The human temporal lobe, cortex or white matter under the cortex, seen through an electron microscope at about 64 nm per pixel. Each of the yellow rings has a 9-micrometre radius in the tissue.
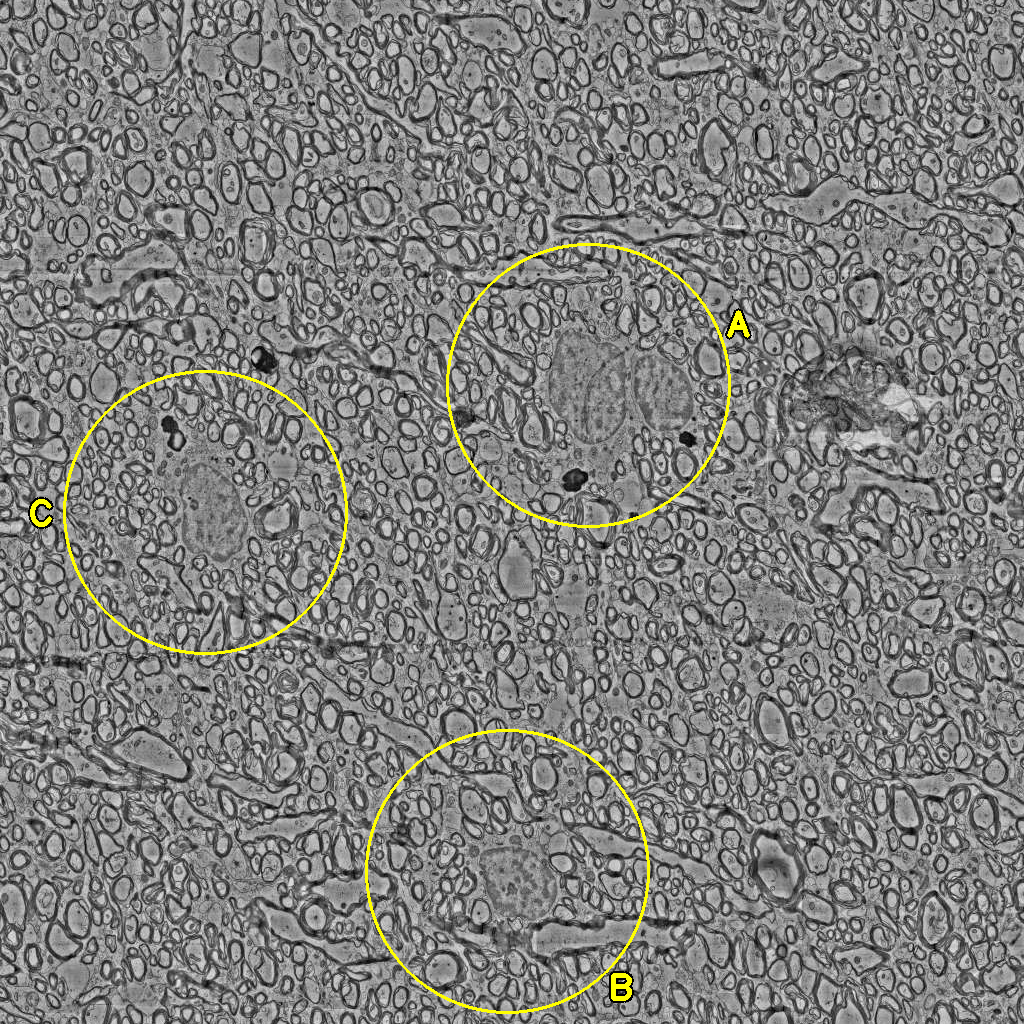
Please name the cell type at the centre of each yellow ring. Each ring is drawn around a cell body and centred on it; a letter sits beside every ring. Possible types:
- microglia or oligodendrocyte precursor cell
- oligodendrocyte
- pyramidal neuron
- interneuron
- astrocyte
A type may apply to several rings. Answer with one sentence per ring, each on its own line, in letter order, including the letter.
Ring A is centred on the cell body of an oligodendrocyte.
Ring B is centred on the cell body of an oligodendrocyte.
Ring C is centred on the cell body of an oligodendrocyte.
